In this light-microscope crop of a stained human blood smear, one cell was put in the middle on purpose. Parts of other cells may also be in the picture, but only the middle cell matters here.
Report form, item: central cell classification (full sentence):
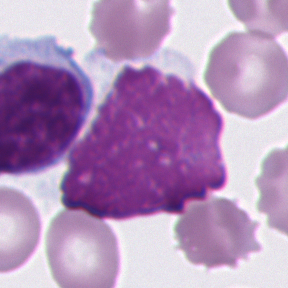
What the crop centres on is a smudge cell.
